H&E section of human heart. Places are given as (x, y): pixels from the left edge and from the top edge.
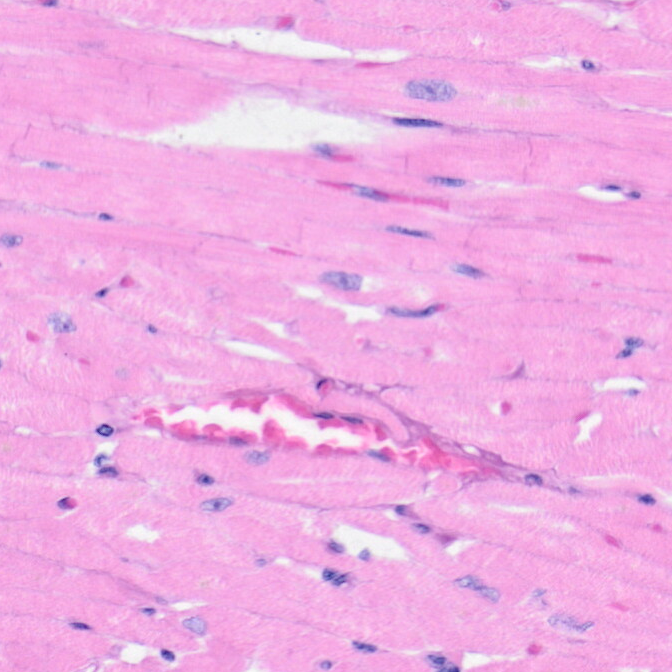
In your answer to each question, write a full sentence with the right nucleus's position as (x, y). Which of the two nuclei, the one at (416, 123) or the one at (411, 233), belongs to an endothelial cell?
Of the two nuclei, that at (416, 123) is the nucleus of an endothelial cell.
